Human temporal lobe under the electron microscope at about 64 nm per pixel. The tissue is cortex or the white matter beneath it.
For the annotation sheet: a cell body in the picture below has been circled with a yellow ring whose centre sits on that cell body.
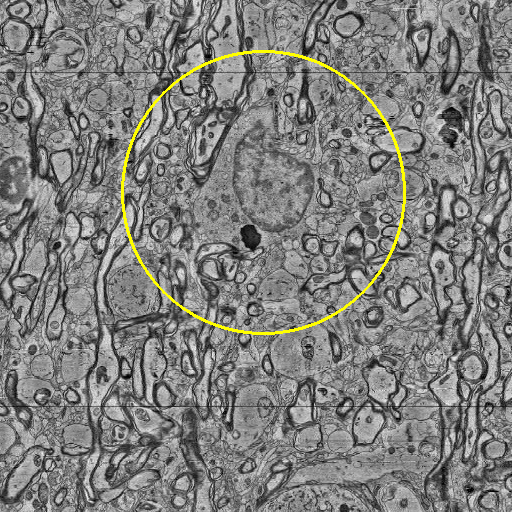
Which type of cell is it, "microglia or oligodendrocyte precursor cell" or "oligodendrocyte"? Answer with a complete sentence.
The circled cell is an oligodendrocyte.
